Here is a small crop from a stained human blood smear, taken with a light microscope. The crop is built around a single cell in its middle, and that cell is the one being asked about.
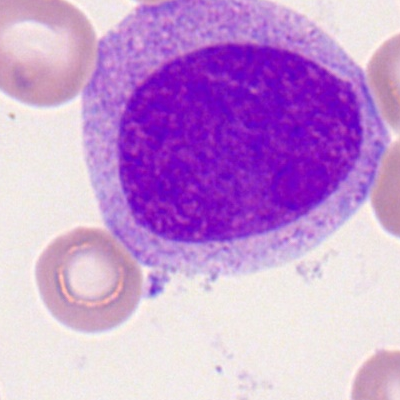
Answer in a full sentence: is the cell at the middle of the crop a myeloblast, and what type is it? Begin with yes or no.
Yes, the cell in the middle is a myeloblast.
